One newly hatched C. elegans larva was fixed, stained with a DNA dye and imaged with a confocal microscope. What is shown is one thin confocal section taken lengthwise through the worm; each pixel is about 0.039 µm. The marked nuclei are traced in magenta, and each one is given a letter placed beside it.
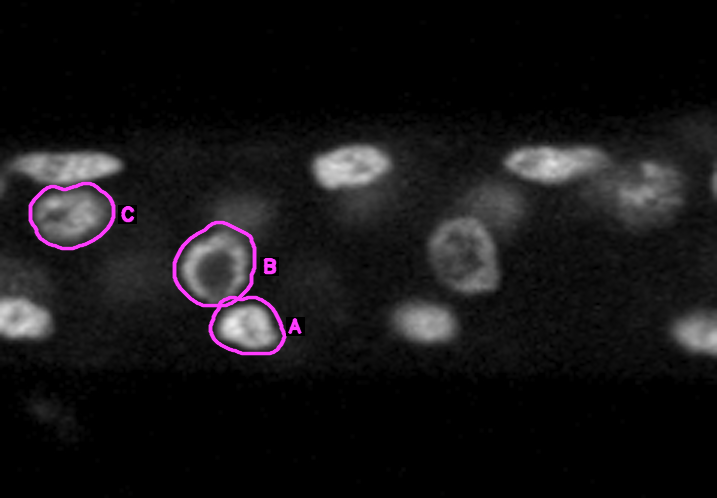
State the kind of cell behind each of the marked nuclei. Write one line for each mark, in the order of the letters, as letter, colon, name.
A: body wall muscle cell
B: M mesoblast
C: seam cell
